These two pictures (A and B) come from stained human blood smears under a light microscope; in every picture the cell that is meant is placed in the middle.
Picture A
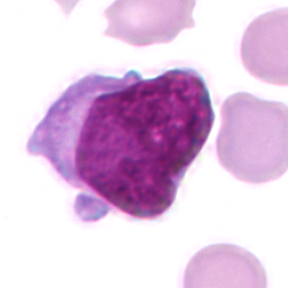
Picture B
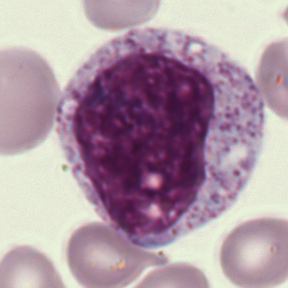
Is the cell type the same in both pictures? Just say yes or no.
no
